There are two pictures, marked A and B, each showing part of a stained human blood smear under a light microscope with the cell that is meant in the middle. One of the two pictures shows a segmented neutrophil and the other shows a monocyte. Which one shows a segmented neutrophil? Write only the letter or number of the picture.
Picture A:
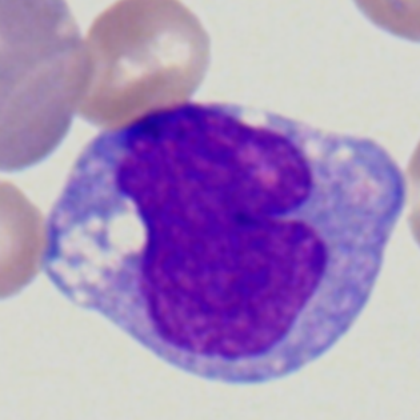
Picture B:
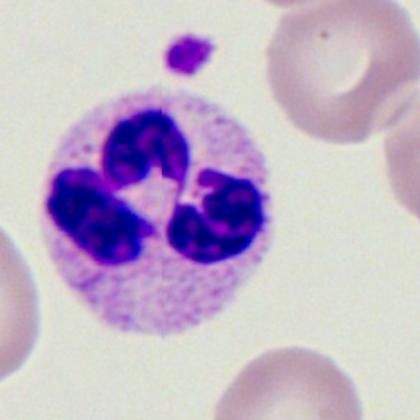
B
